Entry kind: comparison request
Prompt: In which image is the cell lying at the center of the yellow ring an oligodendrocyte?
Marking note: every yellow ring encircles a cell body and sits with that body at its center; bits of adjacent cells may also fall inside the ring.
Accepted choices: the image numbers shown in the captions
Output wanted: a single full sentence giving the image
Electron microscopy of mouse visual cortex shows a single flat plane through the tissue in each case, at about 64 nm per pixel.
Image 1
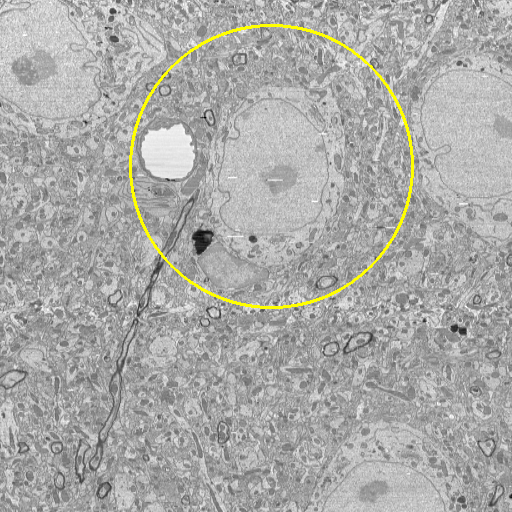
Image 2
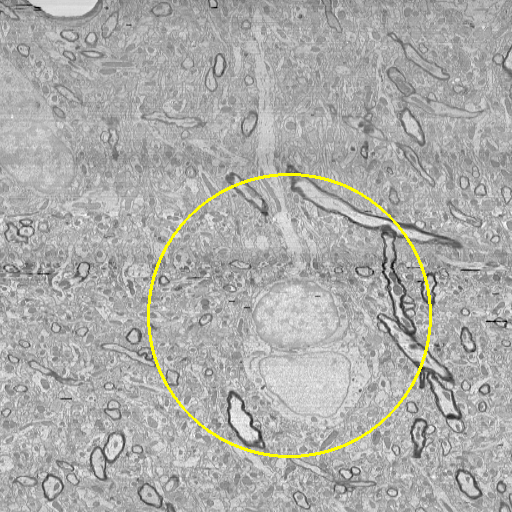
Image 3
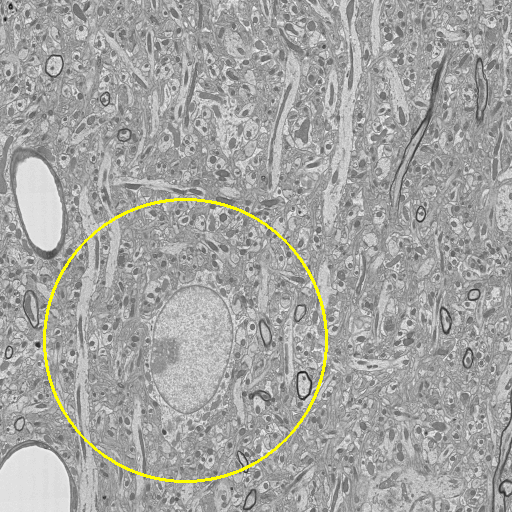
In image 2, the ringed cell at the center matches the prompt.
